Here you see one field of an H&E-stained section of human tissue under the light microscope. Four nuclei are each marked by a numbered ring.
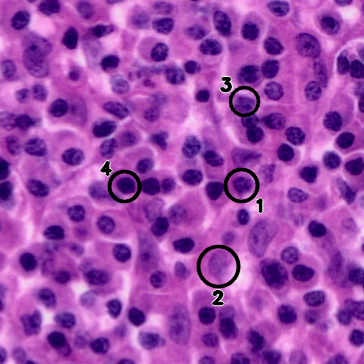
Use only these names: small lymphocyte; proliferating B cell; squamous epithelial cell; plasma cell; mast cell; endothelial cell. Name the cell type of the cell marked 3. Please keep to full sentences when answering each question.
It is as a plasma cell that the cell numbered 3 is identified.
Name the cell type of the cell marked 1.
Cell 1 should be recorded as a plasma cell.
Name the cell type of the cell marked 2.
The numbered cell 2 in this field is a squamous epithelial cell.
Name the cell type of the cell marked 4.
The correct label for cell 4 is a plasma cell.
